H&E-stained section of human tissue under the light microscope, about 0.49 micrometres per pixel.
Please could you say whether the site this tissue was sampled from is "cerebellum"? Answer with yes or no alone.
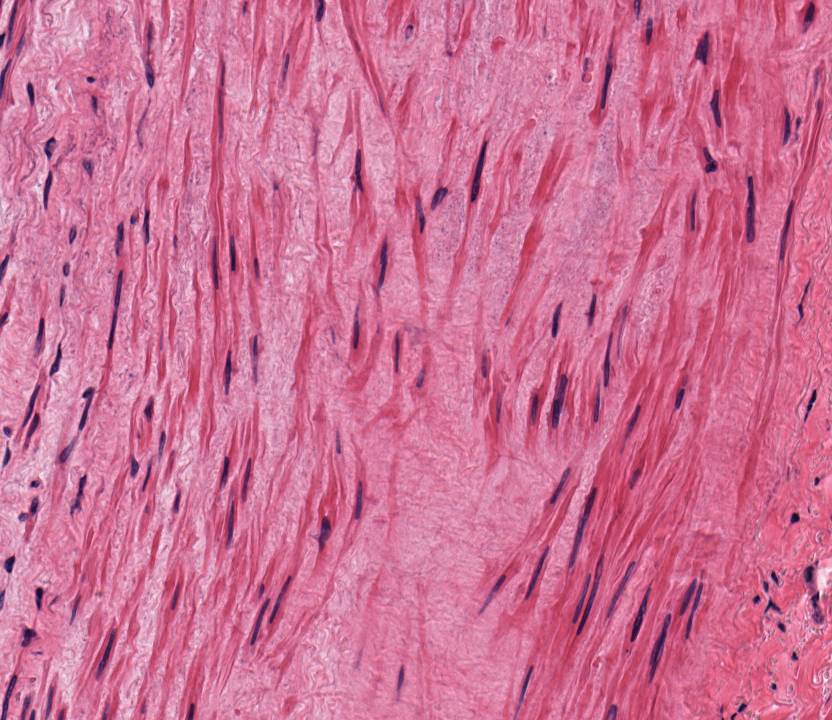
no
